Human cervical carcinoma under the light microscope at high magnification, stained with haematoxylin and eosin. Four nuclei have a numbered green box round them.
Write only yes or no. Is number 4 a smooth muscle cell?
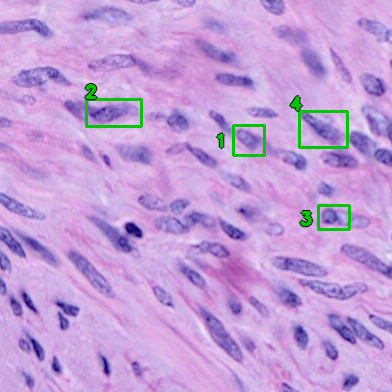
no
